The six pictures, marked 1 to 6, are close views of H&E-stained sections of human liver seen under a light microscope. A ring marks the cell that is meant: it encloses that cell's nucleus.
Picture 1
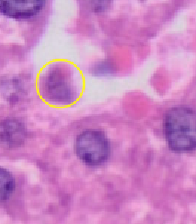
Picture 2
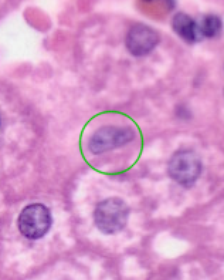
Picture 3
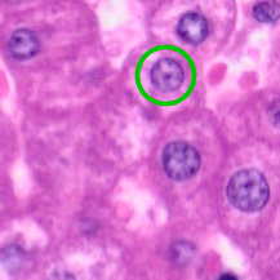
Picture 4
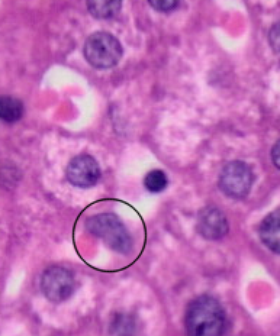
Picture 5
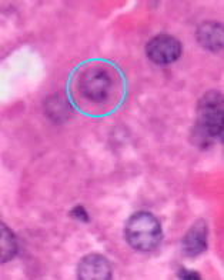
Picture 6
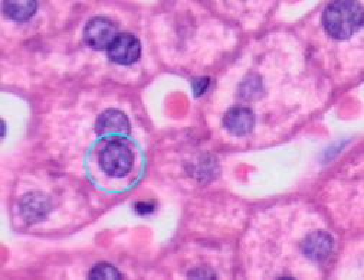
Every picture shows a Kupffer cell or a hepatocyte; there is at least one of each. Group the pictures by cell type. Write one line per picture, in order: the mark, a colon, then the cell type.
1: Kupffer cell
2: Kupffer cell
3: hepatocyte
4: Kupffer cell
5: hepatocyte
6: hepatocyte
